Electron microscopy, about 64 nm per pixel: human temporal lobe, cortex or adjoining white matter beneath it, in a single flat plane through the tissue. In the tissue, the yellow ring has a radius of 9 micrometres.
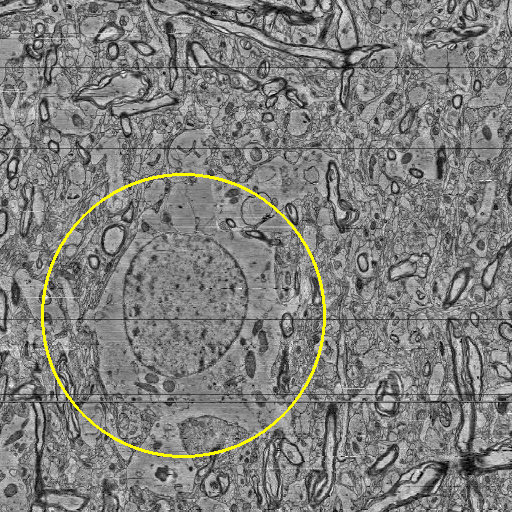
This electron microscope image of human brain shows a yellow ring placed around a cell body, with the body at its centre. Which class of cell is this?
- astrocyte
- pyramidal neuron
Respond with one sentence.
The cell body at the ring's centre is an astrocyte.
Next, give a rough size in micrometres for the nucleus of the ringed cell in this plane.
In this plane, approximately 10 by 8 micrometers.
